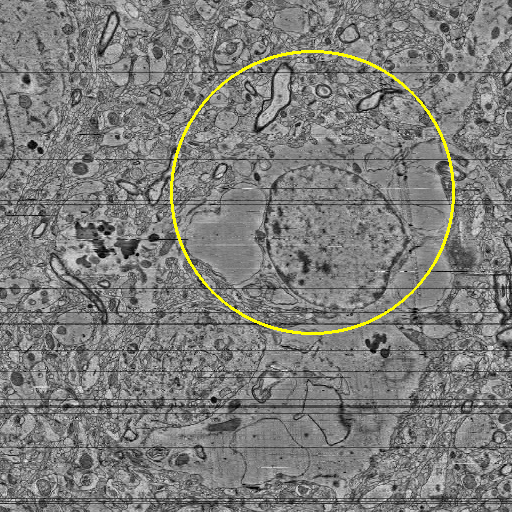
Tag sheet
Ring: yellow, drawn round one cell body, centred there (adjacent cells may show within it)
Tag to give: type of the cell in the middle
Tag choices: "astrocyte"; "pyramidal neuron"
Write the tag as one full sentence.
I tag the cell centred in the yellow ring as an astrocyte in this picture.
